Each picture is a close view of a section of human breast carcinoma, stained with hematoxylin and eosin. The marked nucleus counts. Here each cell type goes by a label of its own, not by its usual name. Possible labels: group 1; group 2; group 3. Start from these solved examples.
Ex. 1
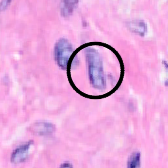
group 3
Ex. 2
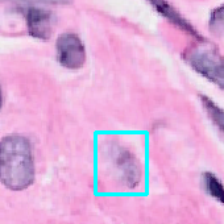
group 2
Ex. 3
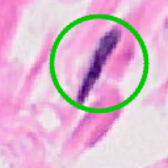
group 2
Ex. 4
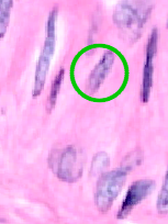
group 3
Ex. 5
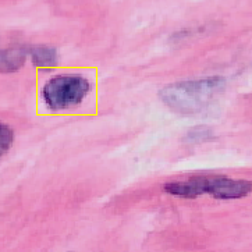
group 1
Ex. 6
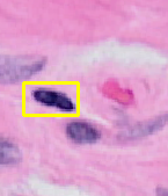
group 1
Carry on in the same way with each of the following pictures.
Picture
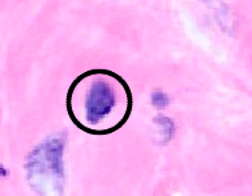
group 1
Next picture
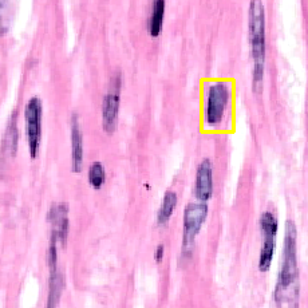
group 1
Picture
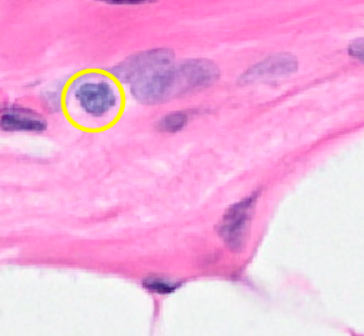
group 1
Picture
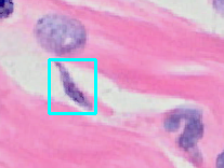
group 2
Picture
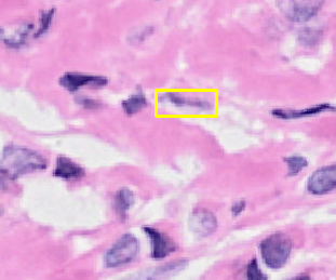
group 2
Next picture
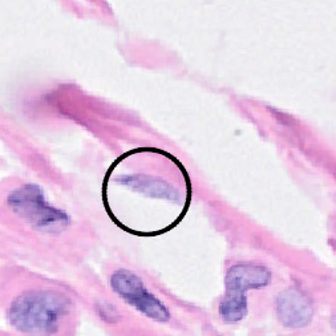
group 2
